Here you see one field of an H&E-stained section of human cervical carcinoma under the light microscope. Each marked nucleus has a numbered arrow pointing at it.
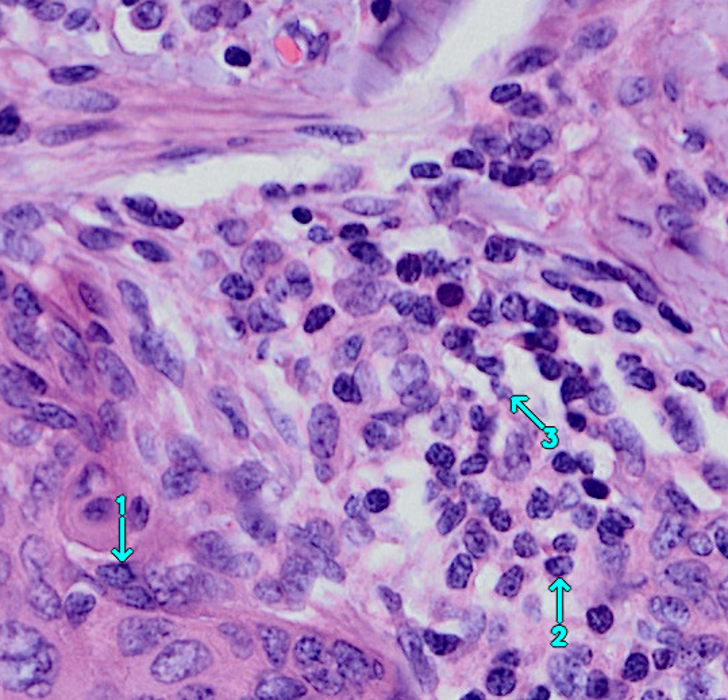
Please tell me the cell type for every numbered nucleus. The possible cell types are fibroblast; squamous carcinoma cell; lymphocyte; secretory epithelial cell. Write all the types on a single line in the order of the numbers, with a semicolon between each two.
squamous carcinoma cell; lymphocyte; lymphocyte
